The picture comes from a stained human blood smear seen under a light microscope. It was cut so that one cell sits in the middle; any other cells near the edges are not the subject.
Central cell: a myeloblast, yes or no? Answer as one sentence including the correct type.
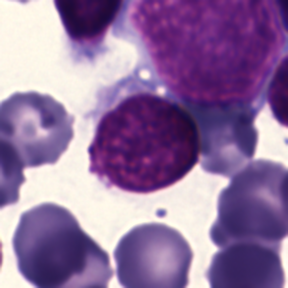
Yes, as for the central cell, it is a myeloblast.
